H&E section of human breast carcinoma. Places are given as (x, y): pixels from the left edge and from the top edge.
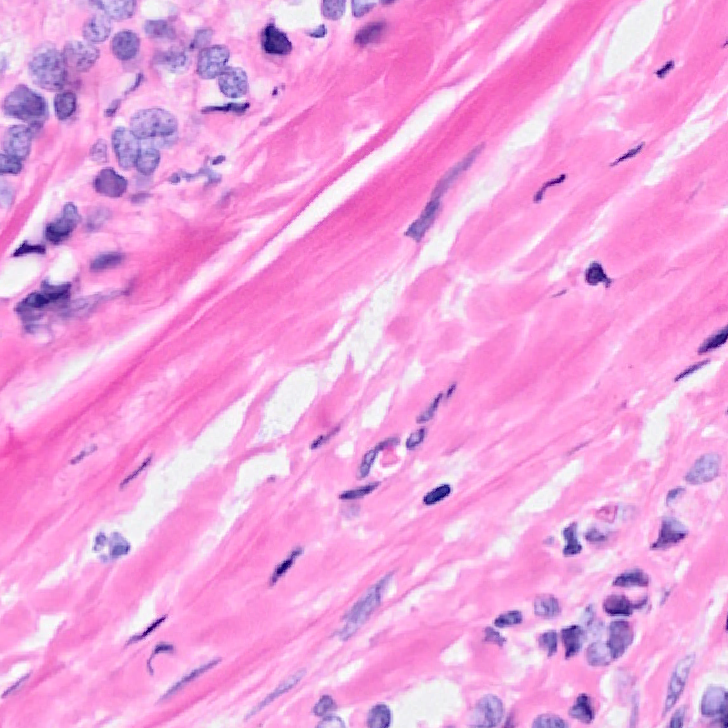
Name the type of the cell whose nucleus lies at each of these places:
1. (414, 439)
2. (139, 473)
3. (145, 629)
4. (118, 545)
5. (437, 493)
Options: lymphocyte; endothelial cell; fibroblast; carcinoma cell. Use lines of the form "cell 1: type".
cell 1: endothelial cell
cell 2: fibroblast
cell 3: fibroblast
cell 4: lymphocyte
cell 5: lymphocyte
